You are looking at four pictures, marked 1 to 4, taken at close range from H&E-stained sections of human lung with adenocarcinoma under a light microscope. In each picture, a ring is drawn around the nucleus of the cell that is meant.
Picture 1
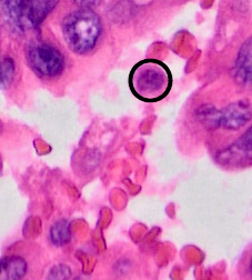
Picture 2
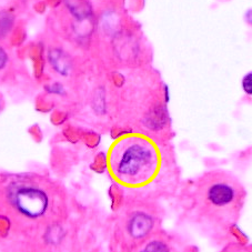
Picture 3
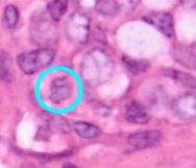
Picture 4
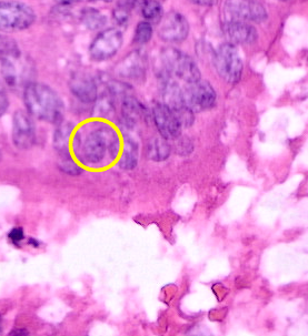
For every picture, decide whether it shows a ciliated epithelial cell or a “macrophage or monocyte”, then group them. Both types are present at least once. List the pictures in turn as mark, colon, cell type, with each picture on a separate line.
1: macrophage or monocyte
2: macrophage or monocyte
3: ciliated epithelial cell
4: ciliated epithelial cell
